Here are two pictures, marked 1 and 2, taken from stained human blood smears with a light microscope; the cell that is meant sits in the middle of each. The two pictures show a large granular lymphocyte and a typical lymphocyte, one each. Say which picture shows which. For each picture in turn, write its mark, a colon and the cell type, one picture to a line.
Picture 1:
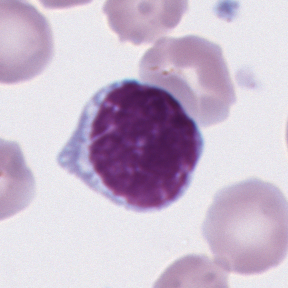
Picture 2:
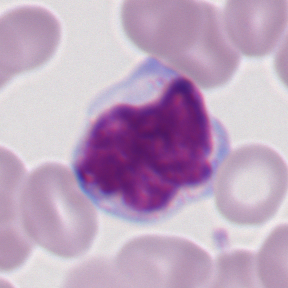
1: typical lymphocyte
2: large granular lymphocyte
